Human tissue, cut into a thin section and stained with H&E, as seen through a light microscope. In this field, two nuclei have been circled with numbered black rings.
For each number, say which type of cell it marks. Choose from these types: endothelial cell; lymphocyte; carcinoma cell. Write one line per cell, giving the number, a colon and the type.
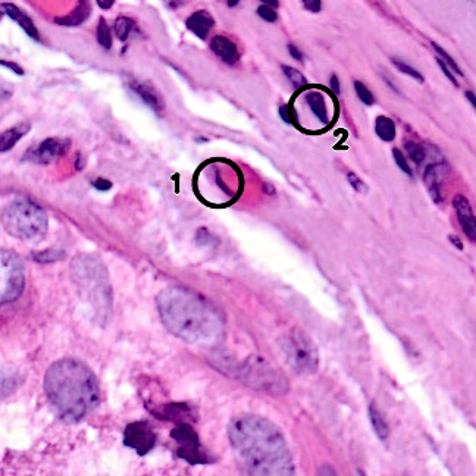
1: endothelial cell
2: lymphocyte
